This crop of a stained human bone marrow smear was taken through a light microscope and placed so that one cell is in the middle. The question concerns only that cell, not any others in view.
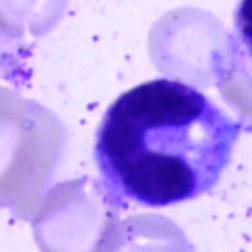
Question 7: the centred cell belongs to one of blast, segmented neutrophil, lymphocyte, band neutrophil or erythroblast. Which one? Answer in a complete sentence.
In the middle of this smear crop, the cell is a band neutrophil.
